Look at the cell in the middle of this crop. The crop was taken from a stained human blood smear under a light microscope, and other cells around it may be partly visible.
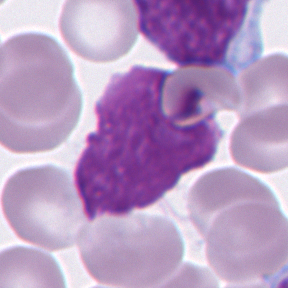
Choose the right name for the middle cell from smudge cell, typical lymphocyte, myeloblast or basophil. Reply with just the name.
smudge cell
